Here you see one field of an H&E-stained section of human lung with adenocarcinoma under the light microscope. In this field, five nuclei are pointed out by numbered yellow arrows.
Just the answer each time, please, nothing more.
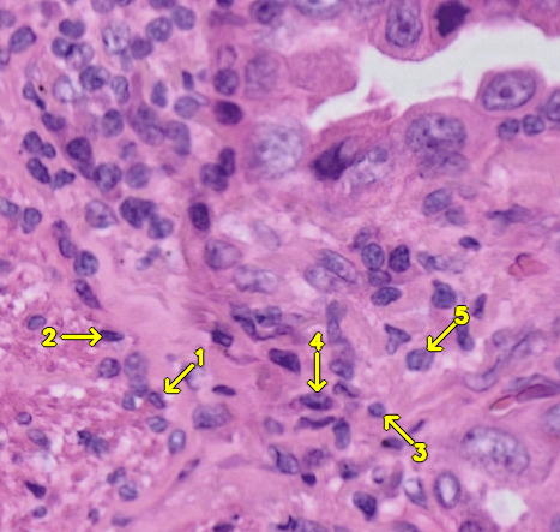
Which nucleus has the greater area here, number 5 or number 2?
5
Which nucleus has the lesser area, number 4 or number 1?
1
